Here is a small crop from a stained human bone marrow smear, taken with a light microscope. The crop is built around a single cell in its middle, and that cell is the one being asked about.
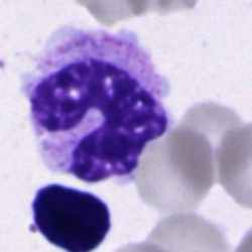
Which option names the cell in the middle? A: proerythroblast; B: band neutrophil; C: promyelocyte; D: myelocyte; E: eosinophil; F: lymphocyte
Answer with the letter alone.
B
